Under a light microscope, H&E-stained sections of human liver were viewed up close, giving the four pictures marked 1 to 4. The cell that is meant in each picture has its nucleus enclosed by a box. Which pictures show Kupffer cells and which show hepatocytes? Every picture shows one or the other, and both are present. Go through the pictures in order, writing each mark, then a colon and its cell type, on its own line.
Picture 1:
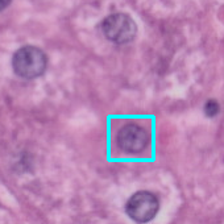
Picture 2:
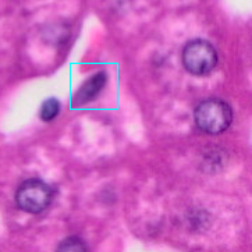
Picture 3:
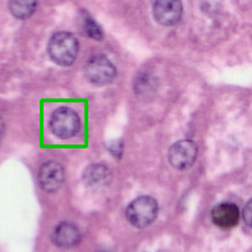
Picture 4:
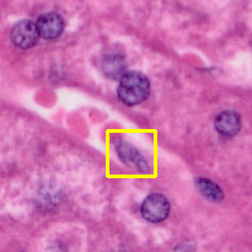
1: hepatocyte
2: Kupffer cell
3: hepatocyte
4: Kupffer cell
